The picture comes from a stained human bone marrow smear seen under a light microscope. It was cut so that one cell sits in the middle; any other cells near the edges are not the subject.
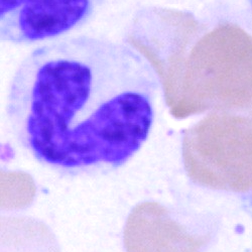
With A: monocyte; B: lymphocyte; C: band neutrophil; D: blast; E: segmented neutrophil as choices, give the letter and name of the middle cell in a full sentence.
The centrally located cell is a band neutrophil, making option C the correct choice.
